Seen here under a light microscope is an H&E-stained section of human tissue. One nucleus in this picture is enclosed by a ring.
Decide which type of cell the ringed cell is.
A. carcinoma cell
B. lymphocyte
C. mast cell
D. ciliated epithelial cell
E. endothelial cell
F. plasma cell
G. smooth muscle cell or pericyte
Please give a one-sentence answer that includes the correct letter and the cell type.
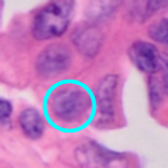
In this section the ringed cell is a carcinoma cell; option A is therefore correct.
